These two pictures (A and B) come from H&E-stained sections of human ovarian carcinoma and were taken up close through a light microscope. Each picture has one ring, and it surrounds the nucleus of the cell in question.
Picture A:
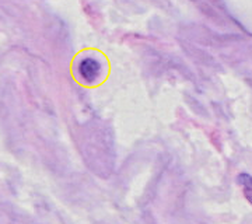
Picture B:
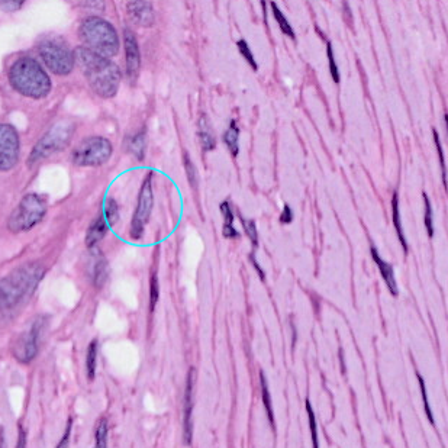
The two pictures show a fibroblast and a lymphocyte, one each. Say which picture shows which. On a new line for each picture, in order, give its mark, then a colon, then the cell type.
A: lymphocyte
B: fibroblast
